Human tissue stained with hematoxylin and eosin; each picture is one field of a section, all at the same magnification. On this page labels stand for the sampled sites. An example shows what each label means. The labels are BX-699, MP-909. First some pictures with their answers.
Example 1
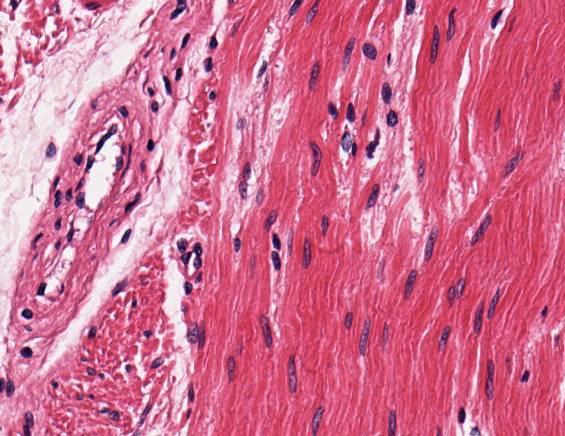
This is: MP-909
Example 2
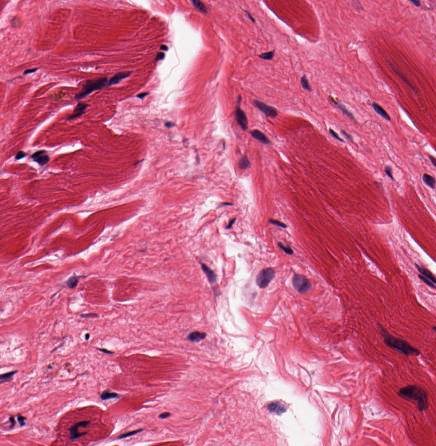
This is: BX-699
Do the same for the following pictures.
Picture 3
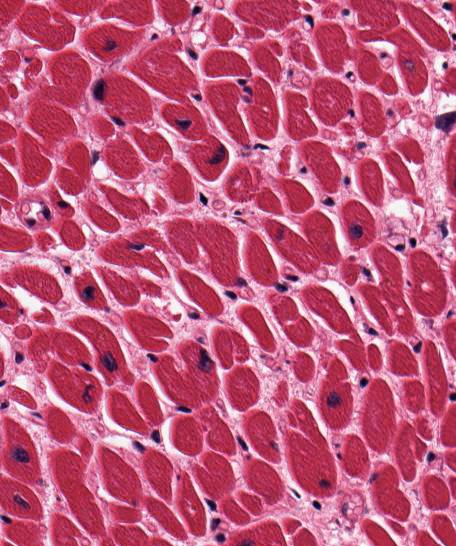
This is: BX-699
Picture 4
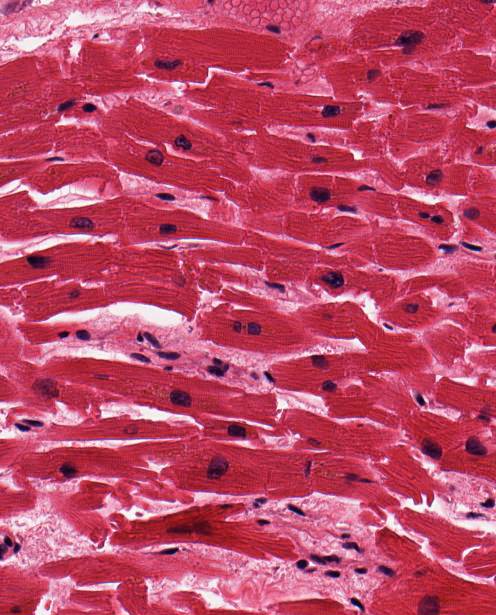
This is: BX-699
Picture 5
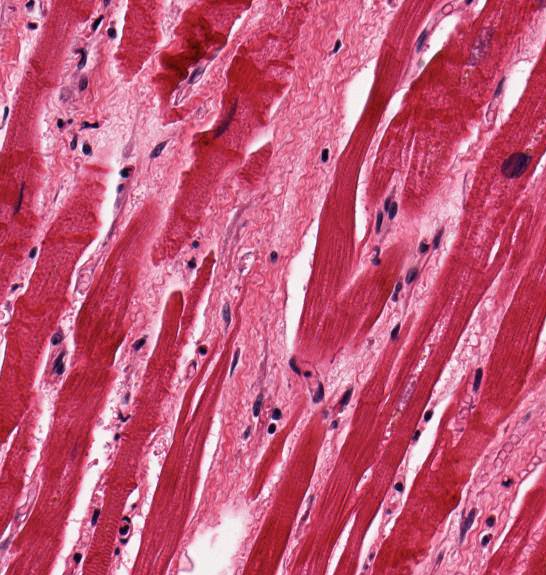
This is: BX-699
